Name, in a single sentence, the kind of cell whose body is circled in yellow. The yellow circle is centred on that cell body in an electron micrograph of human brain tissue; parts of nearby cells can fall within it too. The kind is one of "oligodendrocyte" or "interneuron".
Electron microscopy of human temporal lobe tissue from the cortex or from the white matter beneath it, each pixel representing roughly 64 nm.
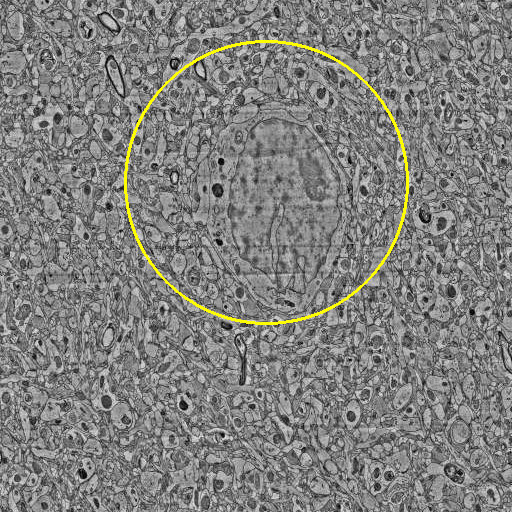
The circled cell body belongs to an interneuron.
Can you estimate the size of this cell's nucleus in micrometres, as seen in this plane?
In this plane the nucleus spans approximately 11 by 8 micrometers.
